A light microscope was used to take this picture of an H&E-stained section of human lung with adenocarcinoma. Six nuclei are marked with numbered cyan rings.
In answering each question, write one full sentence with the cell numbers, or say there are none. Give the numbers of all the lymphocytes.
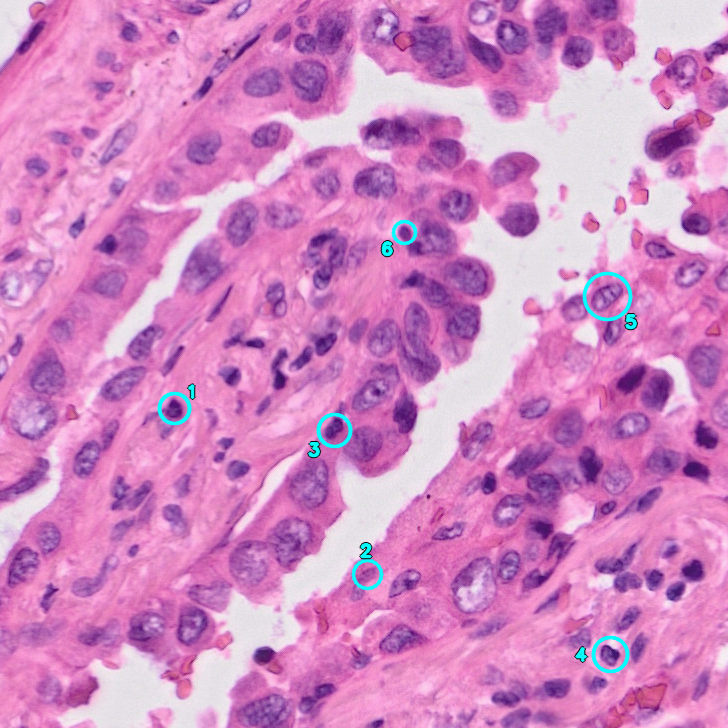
Cells 3, 4 and 6 share one type; they are lymphocytes.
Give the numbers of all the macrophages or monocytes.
The cells whose numbers are 2 and 5 are macrophages or monocytes.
